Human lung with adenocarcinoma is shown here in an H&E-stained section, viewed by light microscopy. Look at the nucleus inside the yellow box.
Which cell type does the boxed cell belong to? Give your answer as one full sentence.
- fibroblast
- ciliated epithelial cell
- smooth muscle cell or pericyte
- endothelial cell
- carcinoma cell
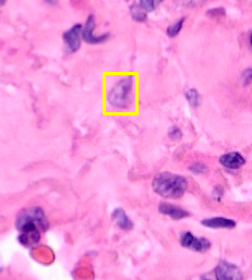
Assigned to a cell type, the boxed cell is a fibroblast.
